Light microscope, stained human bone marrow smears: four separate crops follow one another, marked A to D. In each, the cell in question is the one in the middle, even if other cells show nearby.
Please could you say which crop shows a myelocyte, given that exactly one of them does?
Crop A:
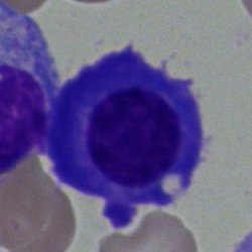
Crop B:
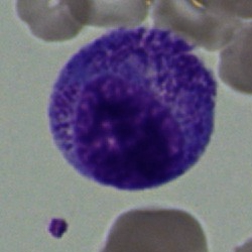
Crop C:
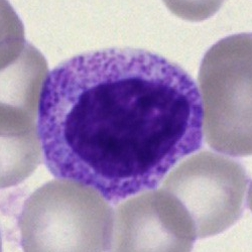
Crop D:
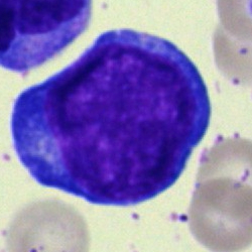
C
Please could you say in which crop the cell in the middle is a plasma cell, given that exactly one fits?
A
